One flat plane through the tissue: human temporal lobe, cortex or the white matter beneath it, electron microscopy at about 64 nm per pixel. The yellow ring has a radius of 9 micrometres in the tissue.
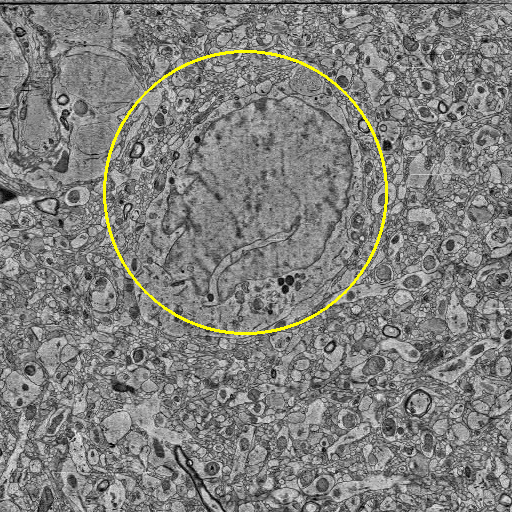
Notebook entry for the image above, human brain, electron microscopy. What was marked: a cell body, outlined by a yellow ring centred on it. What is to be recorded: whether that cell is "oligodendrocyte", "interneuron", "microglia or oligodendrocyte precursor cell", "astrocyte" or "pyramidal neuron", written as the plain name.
interneuron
